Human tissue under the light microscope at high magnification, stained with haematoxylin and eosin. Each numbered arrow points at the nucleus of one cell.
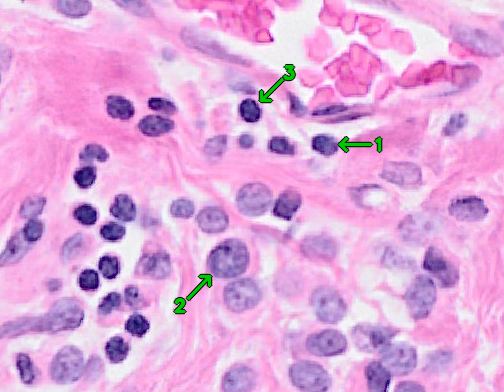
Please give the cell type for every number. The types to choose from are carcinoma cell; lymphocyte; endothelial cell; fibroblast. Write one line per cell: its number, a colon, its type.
1: lymphocyte
2: carcinoma cell
3: lymphocyte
